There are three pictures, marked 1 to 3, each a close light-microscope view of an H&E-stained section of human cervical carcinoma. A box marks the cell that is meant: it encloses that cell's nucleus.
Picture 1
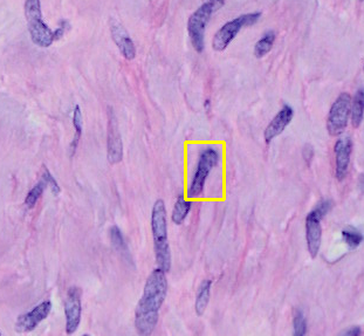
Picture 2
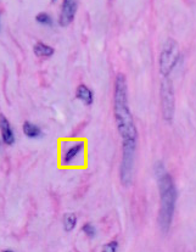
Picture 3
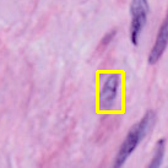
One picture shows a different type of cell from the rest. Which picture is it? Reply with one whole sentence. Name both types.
Unlike the rest, which show smooth muscle cells, picture 1 shows a fibroblast.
